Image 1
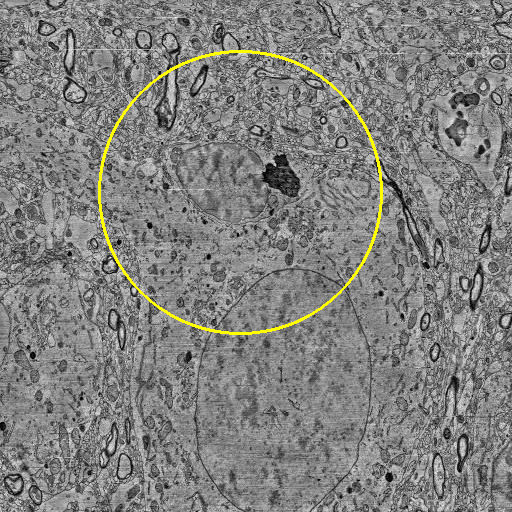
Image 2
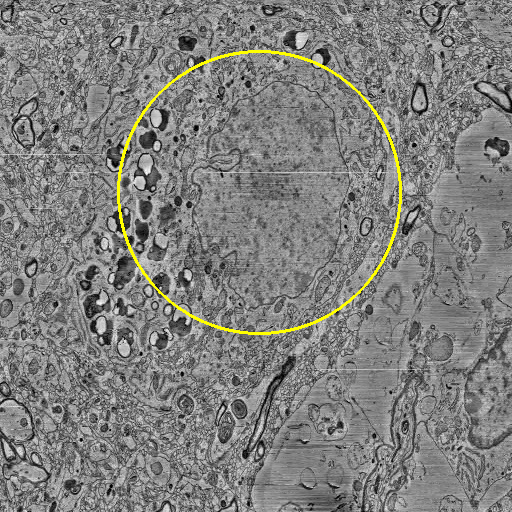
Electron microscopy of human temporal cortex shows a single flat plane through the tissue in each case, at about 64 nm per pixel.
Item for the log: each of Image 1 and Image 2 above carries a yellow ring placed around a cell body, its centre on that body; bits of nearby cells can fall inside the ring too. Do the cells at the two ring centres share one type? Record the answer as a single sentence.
No, the two cells at the ring centres in Image 1 and Image 2 are of two types.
